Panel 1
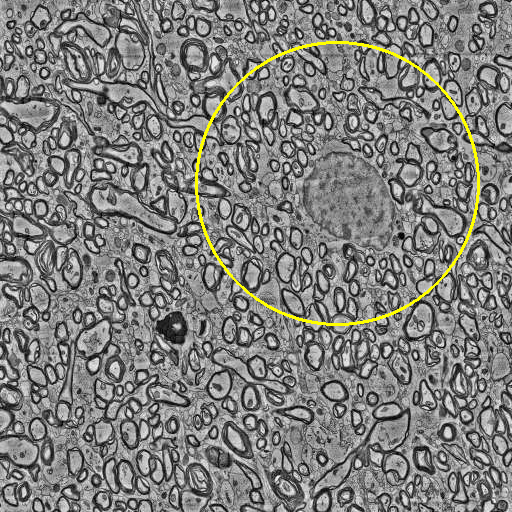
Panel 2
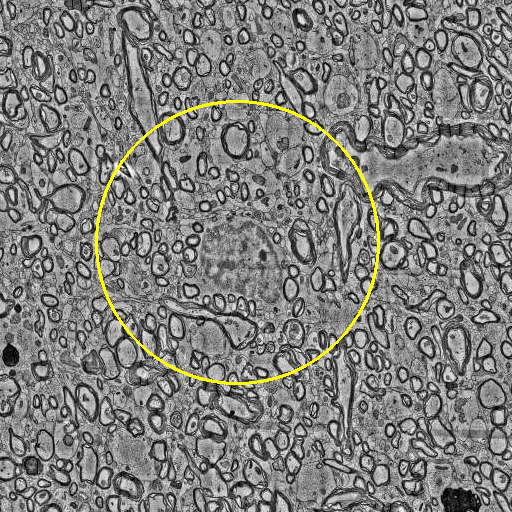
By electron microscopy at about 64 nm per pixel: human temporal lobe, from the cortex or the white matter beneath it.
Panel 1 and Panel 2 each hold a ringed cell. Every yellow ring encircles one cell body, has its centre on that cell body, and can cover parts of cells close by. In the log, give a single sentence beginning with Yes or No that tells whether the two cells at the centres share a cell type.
Yes, in Panel 1 and Panel 2 the centred cells share a cell type.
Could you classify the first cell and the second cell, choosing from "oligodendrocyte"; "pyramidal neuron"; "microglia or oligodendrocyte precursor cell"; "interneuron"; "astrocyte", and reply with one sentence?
In both pictures the ring is centred on an oligodendrocyte.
